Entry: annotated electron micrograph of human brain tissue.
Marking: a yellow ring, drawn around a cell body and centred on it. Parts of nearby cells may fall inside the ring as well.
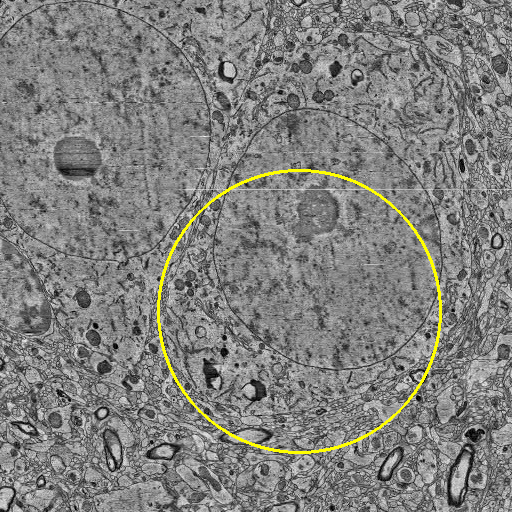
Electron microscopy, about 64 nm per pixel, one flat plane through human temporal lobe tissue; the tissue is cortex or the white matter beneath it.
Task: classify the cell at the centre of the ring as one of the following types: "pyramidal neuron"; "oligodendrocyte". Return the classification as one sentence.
The marked cell is classified as a pyramidal neuron.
